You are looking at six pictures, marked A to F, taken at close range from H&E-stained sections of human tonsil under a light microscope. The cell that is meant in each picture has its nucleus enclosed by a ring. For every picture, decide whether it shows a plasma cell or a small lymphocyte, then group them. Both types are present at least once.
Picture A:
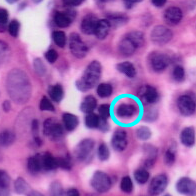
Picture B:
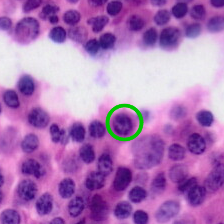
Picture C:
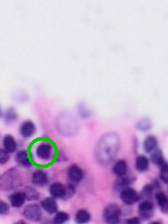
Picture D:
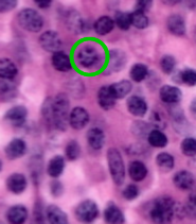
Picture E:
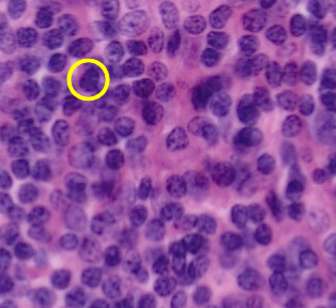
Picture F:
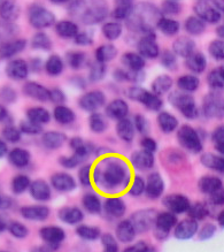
A: plasma cell
B: plasma cell
C: small lymphocyte
D: plasma cell
E: small lymphocyte
F: small lymphocyte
